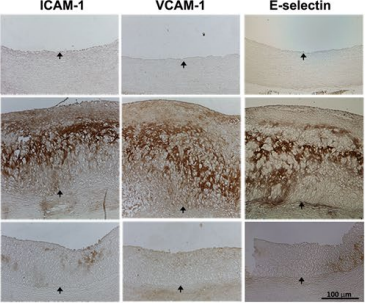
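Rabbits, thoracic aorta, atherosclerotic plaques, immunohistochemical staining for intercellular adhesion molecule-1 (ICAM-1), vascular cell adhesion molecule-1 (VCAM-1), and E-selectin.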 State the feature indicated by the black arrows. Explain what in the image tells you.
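Internal elastic lamina. The brown-stained thickened layer lies above the level of the arrows.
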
